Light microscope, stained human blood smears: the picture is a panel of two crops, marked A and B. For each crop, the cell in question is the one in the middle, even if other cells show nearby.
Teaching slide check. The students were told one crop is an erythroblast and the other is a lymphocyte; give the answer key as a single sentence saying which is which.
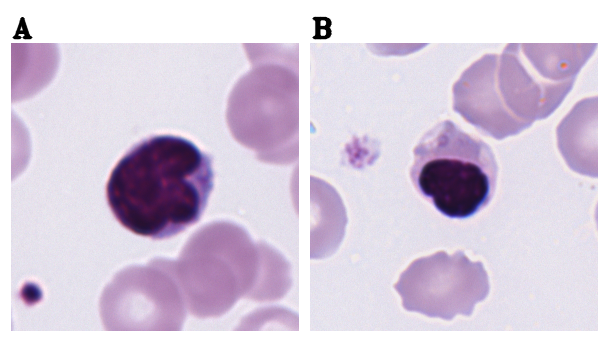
The cell of crop A is a lymphocyte; that of crop B is an erythroblast.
